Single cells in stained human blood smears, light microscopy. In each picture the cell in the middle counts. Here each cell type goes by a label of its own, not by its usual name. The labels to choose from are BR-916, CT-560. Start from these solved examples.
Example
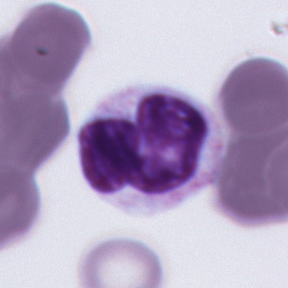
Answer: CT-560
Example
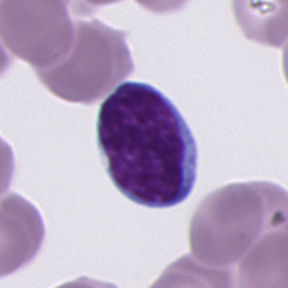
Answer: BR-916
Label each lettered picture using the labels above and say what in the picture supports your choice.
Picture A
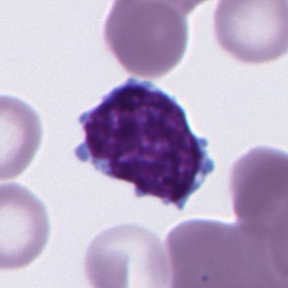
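BR-916. Reason: The cytoplasm is scant, showing mainly as a thin pale blue fringe at the edge.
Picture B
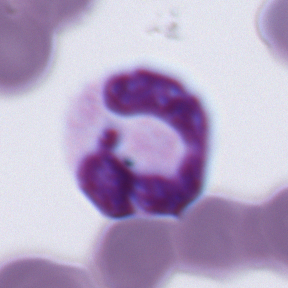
CT-560. Reason: The nucleus is a curved band that wraps around the centre of the cell, leaving a gap at the upper left.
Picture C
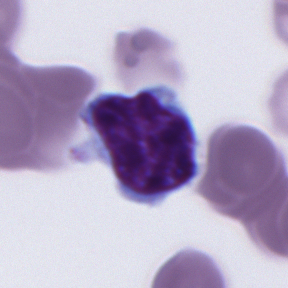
BR-916. Reason: The nucleus fills almost the whole cell and has an irregular, somewhat angular outline.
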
